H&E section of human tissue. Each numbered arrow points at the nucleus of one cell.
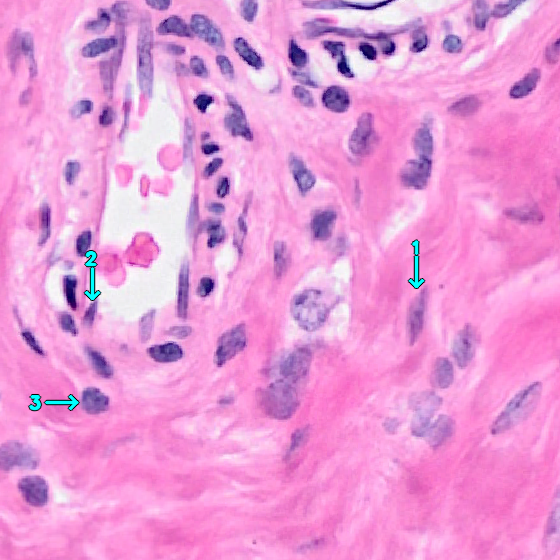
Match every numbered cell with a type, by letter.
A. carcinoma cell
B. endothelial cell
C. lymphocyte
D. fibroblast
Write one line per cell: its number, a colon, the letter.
1: D
2: B
3: C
